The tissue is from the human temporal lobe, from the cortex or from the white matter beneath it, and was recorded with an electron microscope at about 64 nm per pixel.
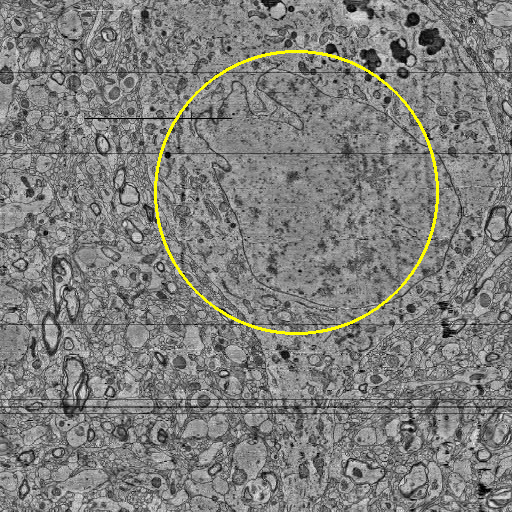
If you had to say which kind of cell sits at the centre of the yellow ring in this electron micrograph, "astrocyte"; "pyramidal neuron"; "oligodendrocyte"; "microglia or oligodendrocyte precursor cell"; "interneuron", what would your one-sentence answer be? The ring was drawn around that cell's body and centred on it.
The cell sitting at the centre of the ring is a pyramidal neuron.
